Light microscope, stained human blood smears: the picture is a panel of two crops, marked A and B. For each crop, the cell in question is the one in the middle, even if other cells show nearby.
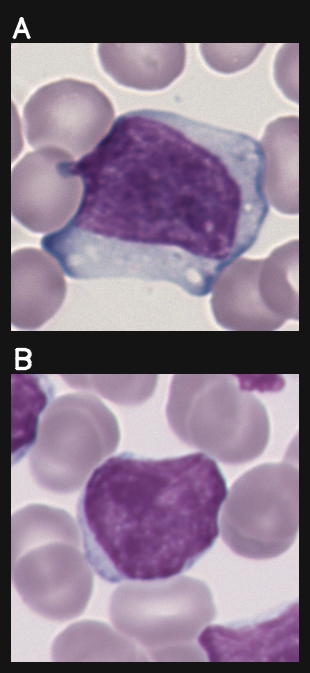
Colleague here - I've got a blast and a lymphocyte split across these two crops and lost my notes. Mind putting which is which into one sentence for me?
Crop A is identified as a blast, and crop B is identified as a lymphocyte.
